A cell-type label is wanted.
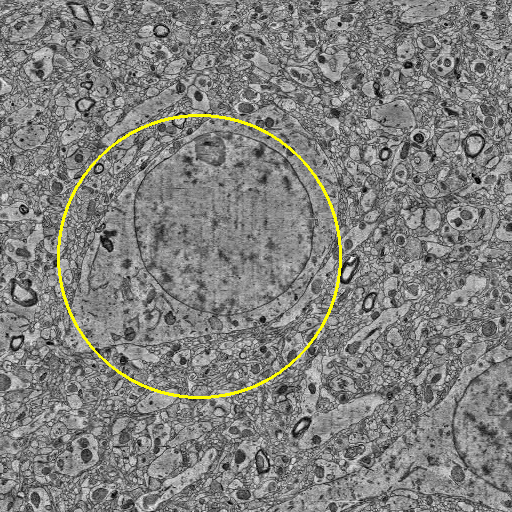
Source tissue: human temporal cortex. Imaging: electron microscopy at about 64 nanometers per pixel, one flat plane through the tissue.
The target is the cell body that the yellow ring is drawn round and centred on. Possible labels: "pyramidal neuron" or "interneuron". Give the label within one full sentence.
Of the labels offered, the cell in the middle of the yellow ring is a pyramidal neuron.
